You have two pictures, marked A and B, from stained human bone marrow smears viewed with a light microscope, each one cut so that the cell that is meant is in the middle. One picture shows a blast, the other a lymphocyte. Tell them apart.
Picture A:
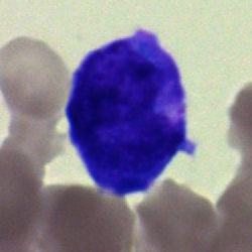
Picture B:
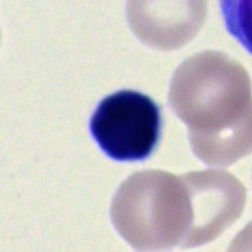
A: blast
B: lymphocyte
